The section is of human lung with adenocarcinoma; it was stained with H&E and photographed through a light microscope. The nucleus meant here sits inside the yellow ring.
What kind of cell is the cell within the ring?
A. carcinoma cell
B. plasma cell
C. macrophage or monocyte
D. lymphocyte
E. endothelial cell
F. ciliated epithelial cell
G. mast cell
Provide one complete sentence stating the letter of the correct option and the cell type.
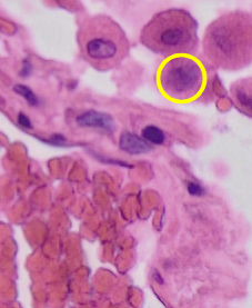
Option C is the right choice, for the cell within the ring is a macrophage or monocyte.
